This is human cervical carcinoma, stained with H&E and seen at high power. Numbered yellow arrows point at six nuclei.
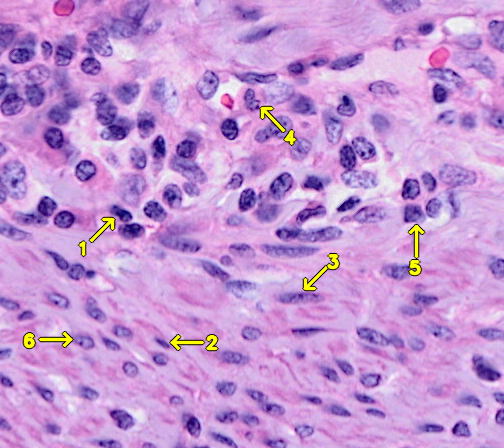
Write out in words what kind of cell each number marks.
Cell 1 is a lymphocyte, cell 2 is a smooth muscle cell, cell 3 is a smooth muscle cell, cell 4 is an endothelial cell, cell 5 is a lymphocyte and cell 6 is a smooth muscle cell.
